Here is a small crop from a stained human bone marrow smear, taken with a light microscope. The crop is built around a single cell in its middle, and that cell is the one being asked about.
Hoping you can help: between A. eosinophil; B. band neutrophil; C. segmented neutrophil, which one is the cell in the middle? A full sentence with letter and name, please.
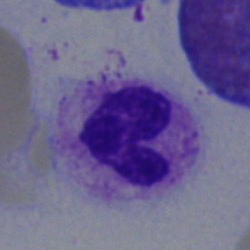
In this crop the central cell is a segmented neutrophil, which option C correctly states.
